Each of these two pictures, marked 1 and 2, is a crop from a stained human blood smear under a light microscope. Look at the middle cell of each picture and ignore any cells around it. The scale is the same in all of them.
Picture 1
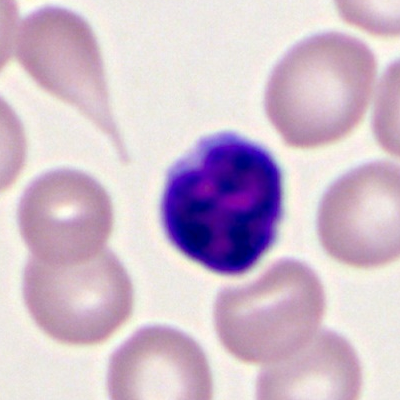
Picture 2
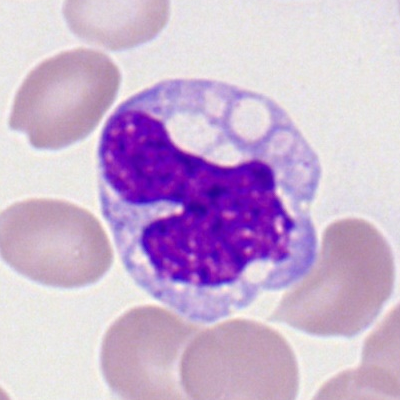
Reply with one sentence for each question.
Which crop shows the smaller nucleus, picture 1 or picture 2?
It is the nucleus in picture 1; the one in picture 2 has about 1.5 times its area.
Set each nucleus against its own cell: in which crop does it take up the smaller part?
It is the cell in picture 2 that is filled less by its nucleus.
